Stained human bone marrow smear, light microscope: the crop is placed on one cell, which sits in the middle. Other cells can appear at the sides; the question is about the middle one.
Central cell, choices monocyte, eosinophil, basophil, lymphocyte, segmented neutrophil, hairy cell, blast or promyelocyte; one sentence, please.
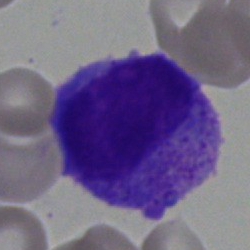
The crop's centre is taken up by a blast.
